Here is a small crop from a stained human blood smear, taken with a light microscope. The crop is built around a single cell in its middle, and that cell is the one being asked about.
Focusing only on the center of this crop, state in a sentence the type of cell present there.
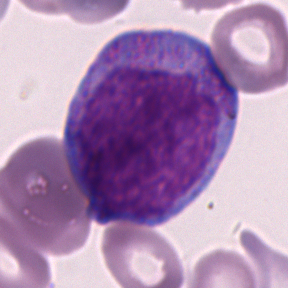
Classified as a promyelocyte is the cell in the middle of this crop.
